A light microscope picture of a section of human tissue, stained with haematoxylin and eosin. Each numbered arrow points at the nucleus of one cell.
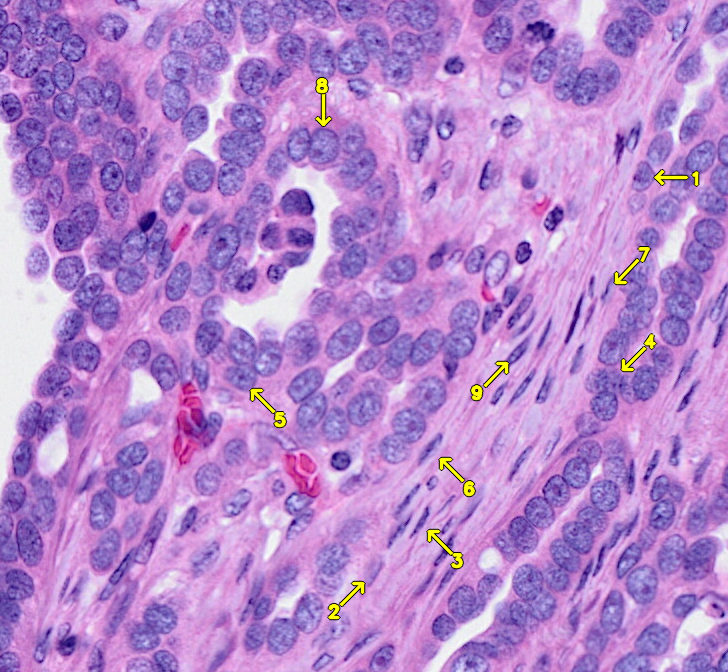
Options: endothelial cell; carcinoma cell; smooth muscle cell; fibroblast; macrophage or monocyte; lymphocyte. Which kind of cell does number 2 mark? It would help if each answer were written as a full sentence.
The cell indicated with the number 2 is classed as a fibroblast.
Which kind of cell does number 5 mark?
Numbered cell 5 is a carcinoma cell in this tissue section.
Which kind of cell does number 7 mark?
Identified as a fibroblast is the cell bearing the number 7.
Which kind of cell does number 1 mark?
The cell numbered 1 has been identified as a carcinoma cell.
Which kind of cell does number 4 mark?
It is as a carcinoma cell that the cell numbered 4 is identified.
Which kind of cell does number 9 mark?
Cell 9 is classified as a fibroblast.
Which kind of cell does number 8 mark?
Number 8 among the marked cells is a carcinoma cell.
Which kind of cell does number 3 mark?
In this section, the cell numbered 3 is a fibroblast.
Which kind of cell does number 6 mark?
What the number 6 marks in this field is a fibroblast.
